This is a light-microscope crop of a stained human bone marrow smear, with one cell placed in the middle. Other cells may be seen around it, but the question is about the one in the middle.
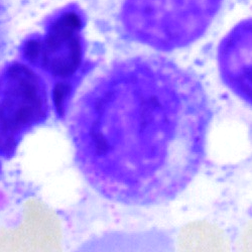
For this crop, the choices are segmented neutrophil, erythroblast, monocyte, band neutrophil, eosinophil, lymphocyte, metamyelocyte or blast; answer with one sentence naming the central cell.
The cell marked by its central position in the crop is a metamyelocyte.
